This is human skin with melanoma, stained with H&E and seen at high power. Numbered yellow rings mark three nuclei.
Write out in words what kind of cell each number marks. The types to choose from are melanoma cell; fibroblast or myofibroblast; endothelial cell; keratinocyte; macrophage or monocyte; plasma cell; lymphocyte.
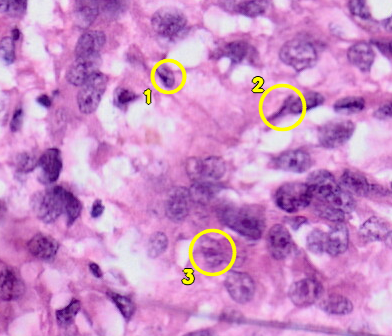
Cell 1 is a macrophage or monocyte. Cells 2 and 3 are melanoma cells.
